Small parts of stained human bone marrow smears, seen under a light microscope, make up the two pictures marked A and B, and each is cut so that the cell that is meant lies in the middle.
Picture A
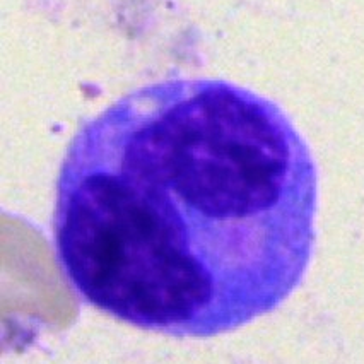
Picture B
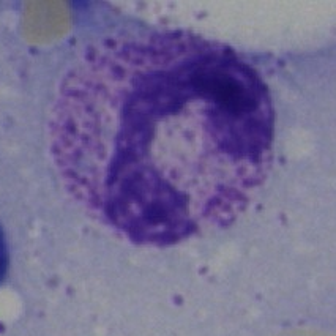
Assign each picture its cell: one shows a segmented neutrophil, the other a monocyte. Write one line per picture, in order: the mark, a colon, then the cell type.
A: monocyte
B: segmented neutrophil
